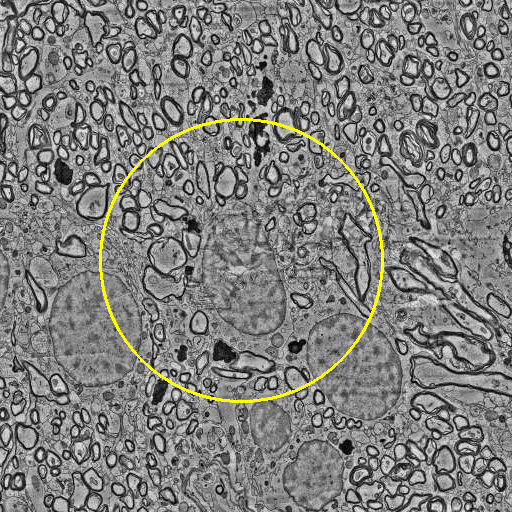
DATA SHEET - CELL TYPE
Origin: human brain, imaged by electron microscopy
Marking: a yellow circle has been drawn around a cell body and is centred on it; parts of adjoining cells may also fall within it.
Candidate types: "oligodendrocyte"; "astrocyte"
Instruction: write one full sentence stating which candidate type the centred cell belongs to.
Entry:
The cell body at the centre of the yellow ring in this micrograph belongs to an oligodendrocyte.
